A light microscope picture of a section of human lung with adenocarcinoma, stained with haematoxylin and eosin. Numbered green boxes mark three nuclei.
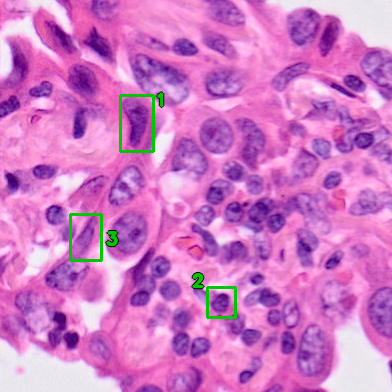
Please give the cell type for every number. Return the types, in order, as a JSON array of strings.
["carcinoma cell", "lymphocyte", "carcinoma cell"]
